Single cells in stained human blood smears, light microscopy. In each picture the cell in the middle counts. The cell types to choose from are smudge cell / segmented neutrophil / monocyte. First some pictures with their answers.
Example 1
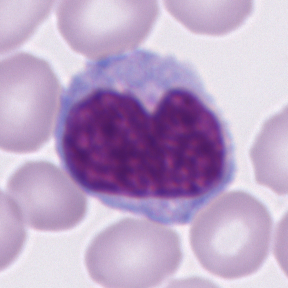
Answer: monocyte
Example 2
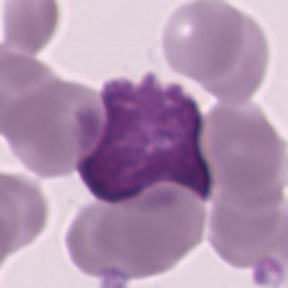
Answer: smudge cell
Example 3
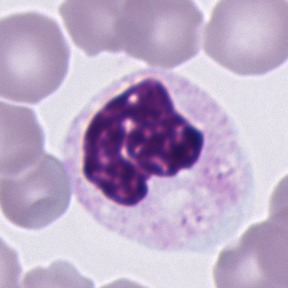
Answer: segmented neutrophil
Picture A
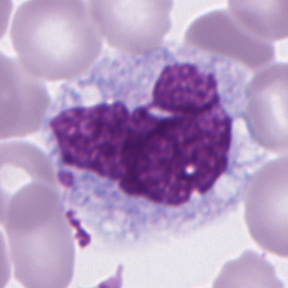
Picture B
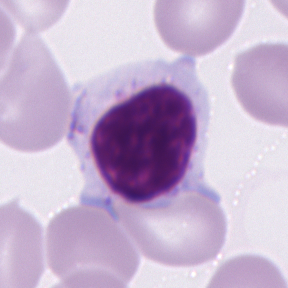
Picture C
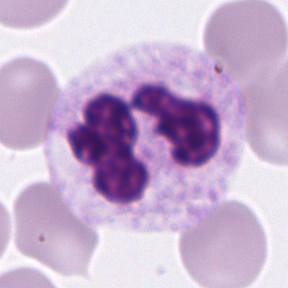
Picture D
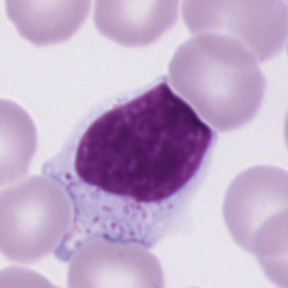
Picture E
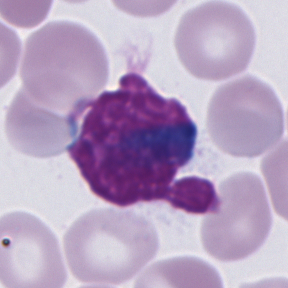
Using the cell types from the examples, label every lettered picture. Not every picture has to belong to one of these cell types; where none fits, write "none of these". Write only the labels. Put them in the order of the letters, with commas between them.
monocyte, none of these, segmented neutrophil, none of these, smudge cell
